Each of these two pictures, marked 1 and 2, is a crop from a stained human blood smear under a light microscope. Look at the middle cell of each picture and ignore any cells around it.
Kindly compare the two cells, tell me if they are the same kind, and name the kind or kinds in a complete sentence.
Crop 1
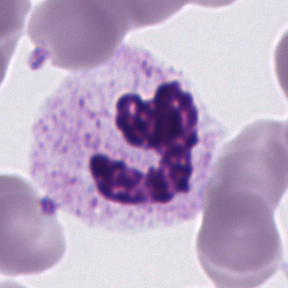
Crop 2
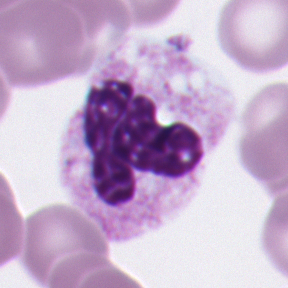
Yes, segmented neutrophils are what the two crops show.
